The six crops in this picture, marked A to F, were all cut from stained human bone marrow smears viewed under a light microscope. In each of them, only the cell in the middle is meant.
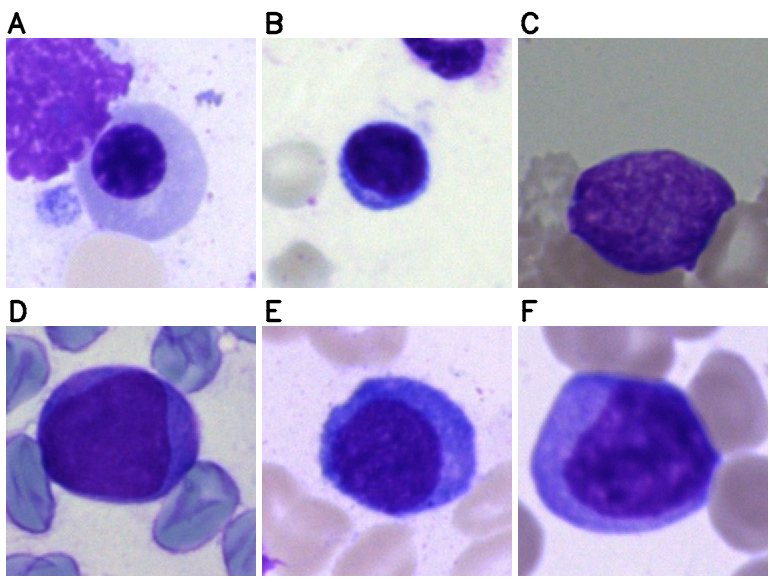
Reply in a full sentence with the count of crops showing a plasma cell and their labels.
The only crop with a plasma cell in the middle is crop E.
